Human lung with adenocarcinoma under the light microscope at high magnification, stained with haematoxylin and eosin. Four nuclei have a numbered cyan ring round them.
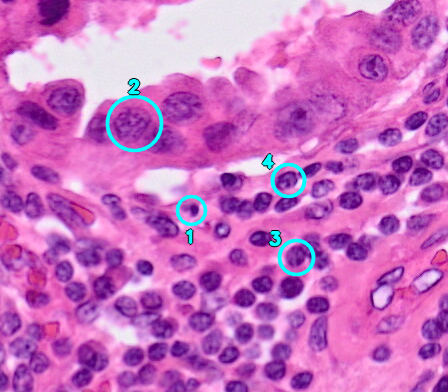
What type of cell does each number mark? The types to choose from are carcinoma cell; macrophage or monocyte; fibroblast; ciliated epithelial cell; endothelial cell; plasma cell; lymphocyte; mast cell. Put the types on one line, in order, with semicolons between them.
lymphocyte; carcinoma cell; lymphocyte; lymphocyte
